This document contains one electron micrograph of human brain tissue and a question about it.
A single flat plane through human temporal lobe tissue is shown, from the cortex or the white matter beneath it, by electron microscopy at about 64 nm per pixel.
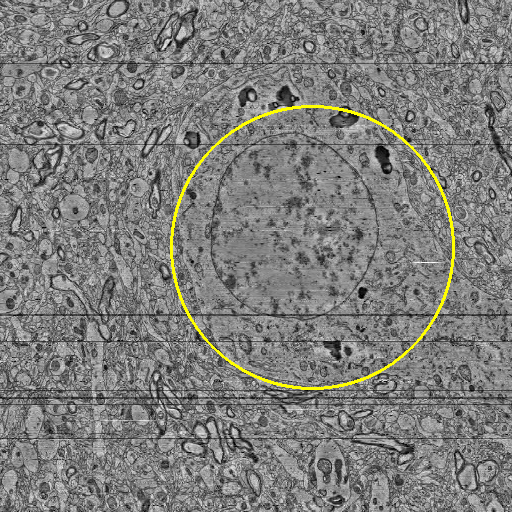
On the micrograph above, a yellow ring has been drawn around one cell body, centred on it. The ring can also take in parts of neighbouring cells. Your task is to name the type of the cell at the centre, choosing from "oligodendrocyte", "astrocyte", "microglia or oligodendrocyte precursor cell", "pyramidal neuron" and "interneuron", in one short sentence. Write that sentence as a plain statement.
Here the ring is centred on a pyramidal neuron.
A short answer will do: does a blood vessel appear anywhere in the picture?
No.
